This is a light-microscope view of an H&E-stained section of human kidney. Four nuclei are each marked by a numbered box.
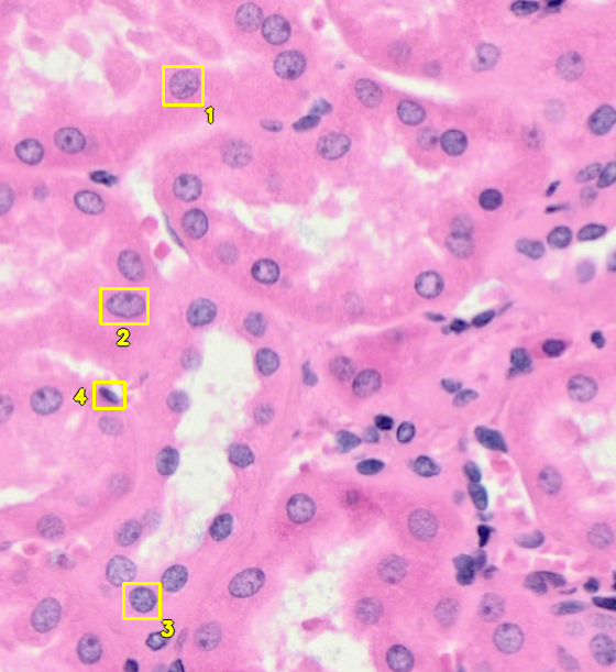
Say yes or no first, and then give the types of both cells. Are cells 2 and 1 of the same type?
Yes, both cell 2 and cell 1 are classified as proximal tubule cells.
